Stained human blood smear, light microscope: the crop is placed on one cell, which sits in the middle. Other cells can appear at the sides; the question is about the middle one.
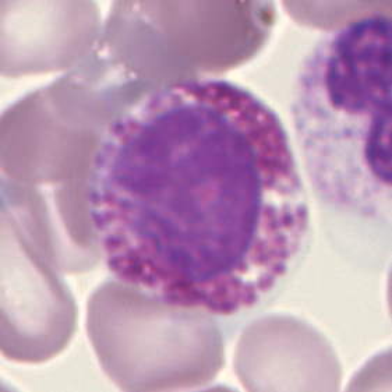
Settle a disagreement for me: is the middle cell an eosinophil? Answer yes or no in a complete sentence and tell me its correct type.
Yes, the cell placed centrally within the crop is an eosinophil.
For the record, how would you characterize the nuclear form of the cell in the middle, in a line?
In this cell the nucleus is a solitary compact mass, round, oval or kidney-shaped.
